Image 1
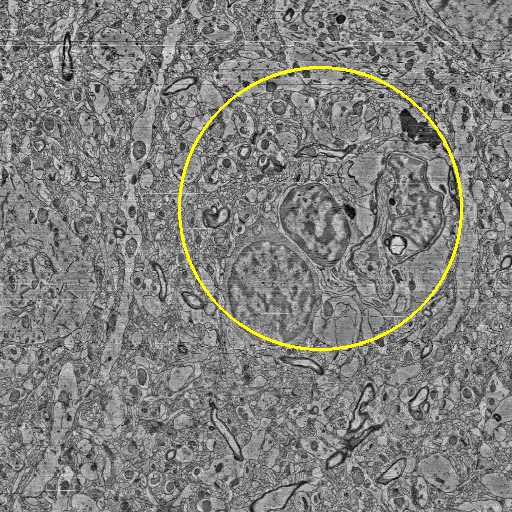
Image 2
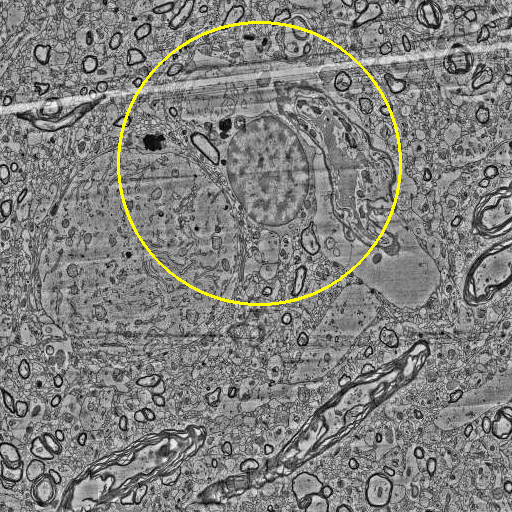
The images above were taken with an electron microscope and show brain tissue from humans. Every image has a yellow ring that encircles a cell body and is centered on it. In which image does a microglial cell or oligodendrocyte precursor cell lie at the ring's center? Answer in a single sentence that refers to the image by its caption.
In Image 1, the cell at the center of the yellow ring is the correct match.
